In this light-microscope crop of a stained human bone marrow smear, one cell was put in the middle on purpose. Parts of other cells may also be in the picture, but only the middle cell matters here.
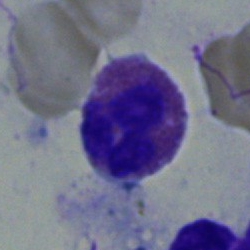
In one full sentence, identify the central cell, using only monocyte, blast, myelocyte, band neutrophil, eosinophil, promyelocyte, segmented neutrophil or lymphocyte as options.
Of the cells in this crop, the central one is an eosinophil.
